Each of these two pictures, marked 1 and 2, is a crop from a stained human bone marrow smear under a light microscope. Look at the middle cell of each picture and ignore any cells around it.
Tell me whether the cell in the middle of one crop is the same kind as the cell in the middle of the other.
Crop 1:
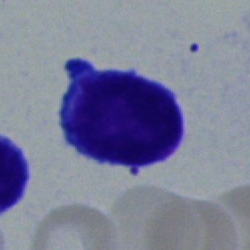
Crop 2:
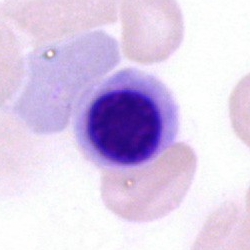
no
